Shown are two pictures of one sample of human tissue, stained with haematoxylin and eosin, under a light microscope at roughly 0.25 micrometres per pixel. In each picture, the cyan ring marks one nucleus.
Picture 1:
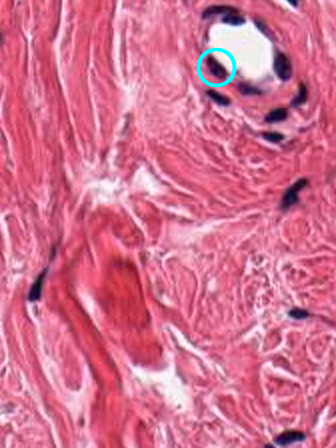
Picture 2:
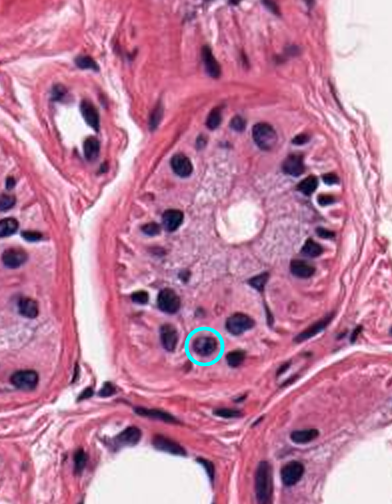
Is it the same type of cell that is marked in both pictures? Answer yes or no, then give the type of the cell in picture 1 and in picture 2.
No, the first is an endothelial cell and the second a sweat gland cell.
